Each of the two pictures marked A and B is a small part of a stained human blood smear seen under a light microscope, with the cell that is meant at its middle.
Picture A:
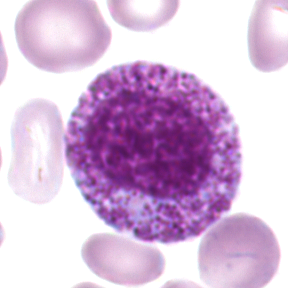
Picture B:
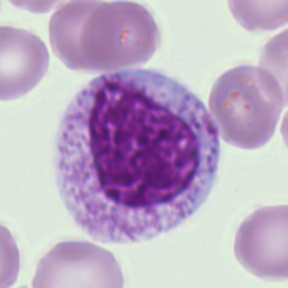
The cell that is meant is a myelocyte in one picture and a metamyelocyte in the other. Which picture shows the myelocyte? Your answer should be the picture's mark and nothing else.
A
